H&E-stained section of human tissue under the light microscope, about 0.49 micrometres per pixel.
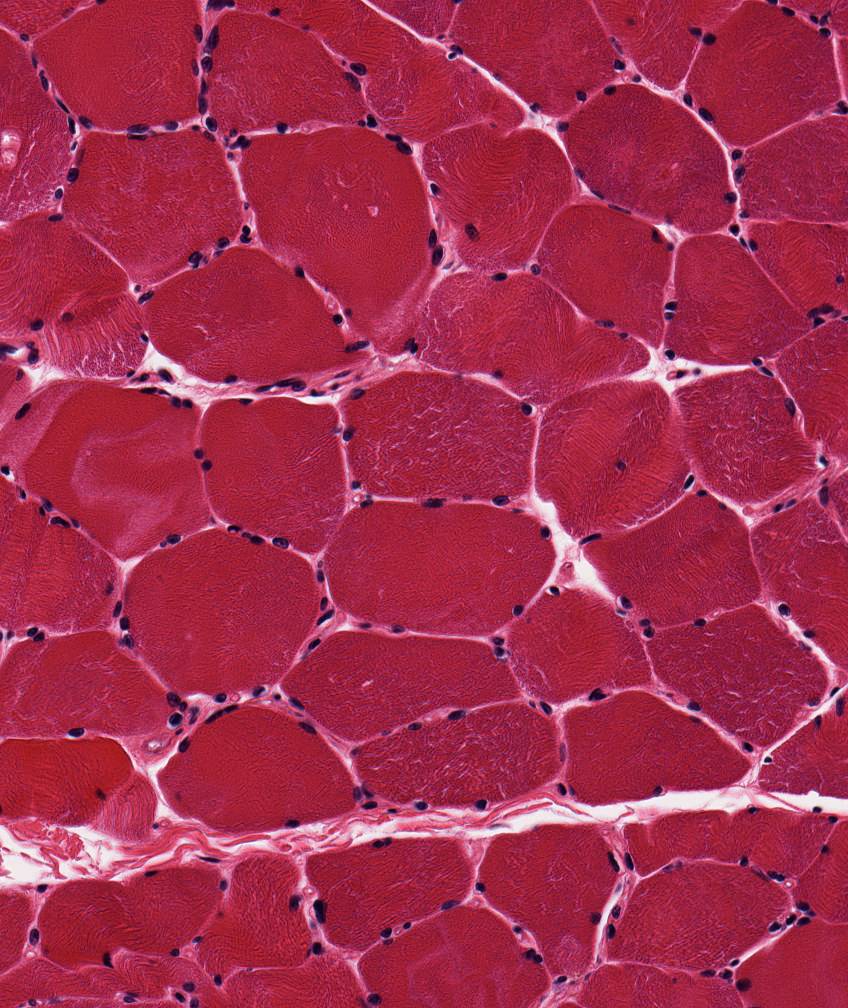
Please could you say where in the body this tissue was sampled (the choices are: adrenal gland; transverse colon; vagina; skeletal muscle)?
skeletal muscle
